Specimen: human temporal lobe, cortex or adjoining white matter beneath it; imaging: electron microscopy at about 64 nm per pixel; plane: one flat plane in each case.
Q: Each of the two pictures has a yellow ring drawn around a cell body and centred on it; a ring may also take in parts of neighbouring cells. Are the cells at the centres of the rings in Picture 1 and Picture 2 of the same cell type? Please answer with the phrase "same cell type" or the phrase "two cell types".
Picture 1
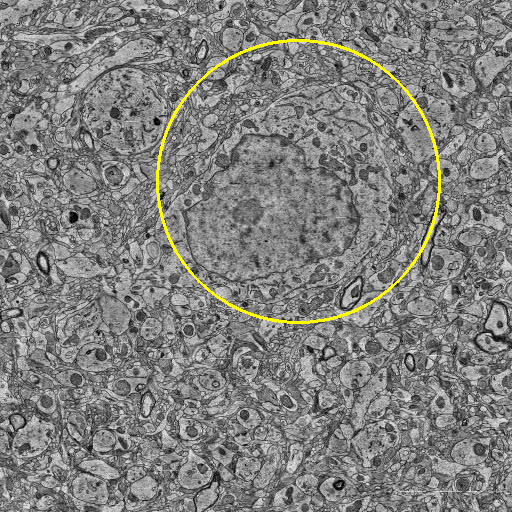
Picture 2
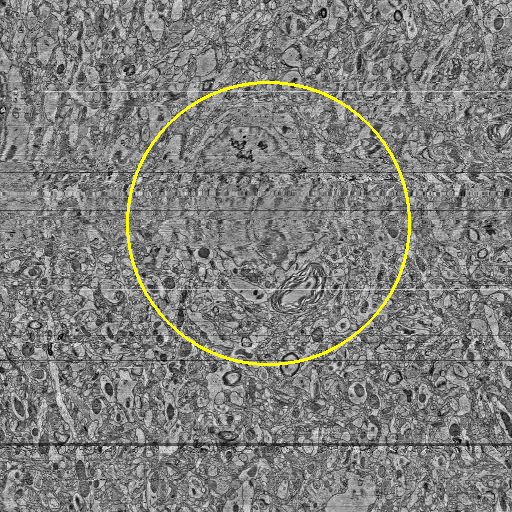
same cell type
